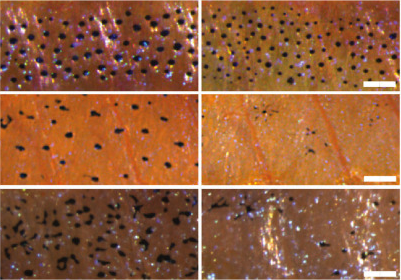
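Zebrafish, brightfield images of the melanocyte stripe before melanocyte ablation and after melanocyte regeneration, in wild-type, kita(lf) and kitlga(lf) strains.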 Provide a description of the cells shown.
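In some views the pigment cells are small, rounded and evenly spaced in dense rows. In others they are fewer and larger, with irregular, spread-out outlines, or they are almost absent.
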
